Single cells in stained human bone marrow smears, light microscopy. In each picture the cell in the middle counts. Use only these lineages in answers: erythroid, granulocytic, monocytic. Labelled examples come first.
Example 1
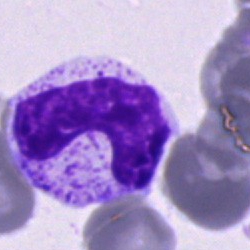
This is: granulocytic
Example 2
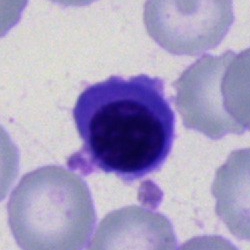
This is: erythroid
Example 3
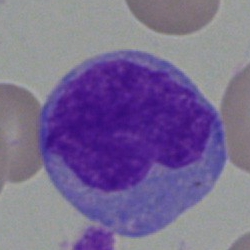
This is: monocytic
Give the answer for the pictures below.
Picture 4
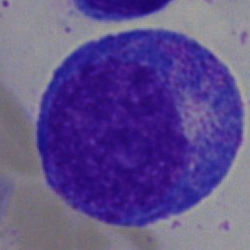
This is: granulocytic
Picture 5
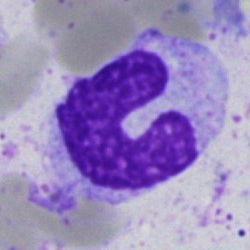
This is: monocytic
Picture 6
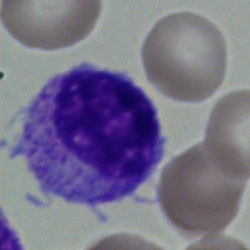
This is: granulocytic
